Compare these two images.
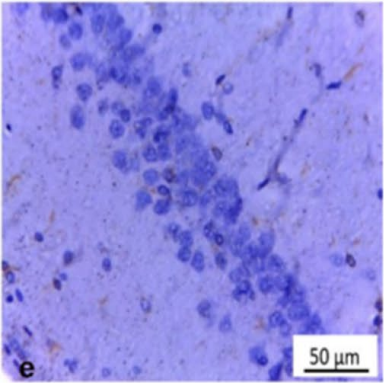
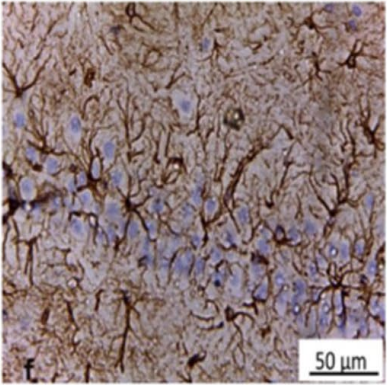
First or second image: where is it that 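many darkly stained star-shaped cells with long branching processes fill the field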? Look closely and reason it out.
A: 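First image: almost no brown stain; only faint thin brown threads beside a band of blue nuclei. Second image: numerous dark brown star-shaped cells with long branching processes throughout.
Answer: the second image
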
